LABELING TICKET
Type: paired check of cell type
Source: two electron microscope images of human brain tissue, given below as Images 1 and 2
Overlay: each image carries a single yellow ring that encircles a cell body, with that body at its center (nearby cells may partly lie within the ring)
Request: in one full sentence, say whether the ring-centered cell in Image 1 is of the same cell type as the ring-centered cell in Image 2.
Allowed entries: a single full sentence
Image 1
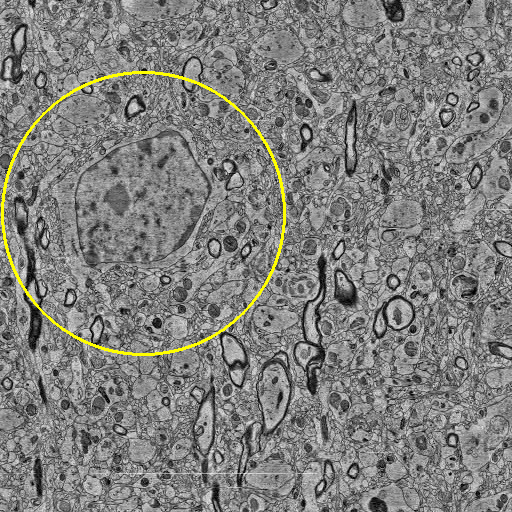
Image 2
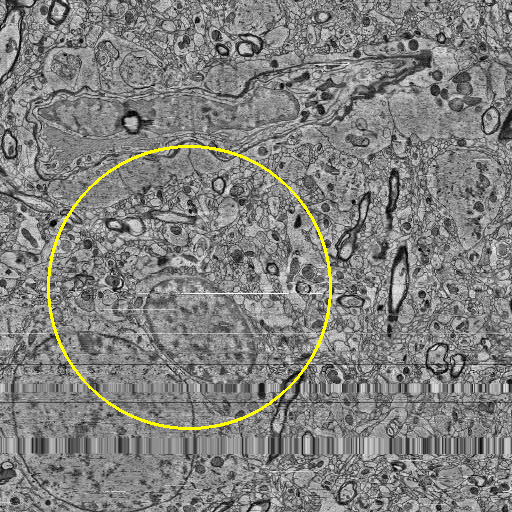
No, the cells centered in the rings of Image 1 and Image 2 are of two types.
